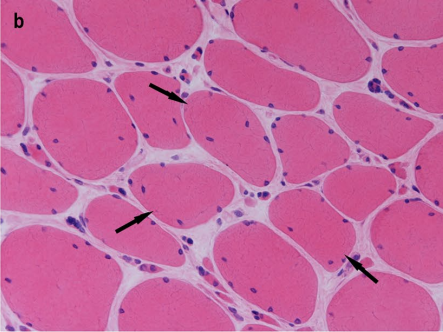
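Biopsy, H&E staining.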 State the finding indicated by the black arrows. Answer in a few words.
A: Necklace fibre.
